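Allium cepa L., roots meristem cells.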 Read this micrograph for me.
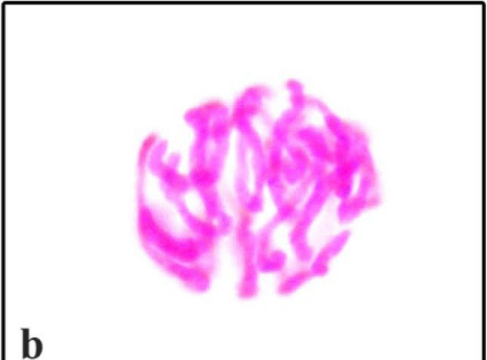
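Within a roughly round outline the chromatin has gathered into many pink, thread-like chromosomes. The threads are thick and somewhat beaded but still long and tangled, curving in various directions. They are not yet separated or arranged in any plane, and they fill the whole nuclear area.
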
